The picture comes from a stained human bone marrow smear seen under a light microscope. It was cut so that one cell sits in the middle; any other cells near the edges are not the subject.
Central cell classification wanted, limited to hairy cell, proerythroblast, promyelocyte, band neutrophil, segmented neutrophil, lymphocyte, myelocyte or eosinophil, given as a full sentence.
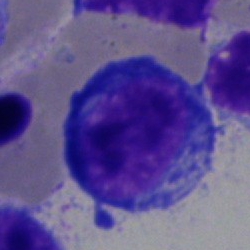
The cell around which this crop is centred is a proerythroblast.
